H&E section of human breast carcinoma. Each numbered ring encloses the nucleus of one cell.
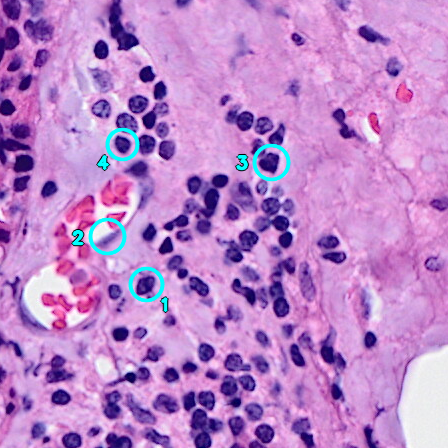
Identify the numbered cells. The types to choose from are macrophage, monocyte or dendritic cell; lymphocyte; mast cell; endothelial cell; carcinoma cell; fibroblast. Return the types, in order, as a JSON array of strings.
["lymphocyte", "endothelial cell", "lymphocyte", "lymphocyte"]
